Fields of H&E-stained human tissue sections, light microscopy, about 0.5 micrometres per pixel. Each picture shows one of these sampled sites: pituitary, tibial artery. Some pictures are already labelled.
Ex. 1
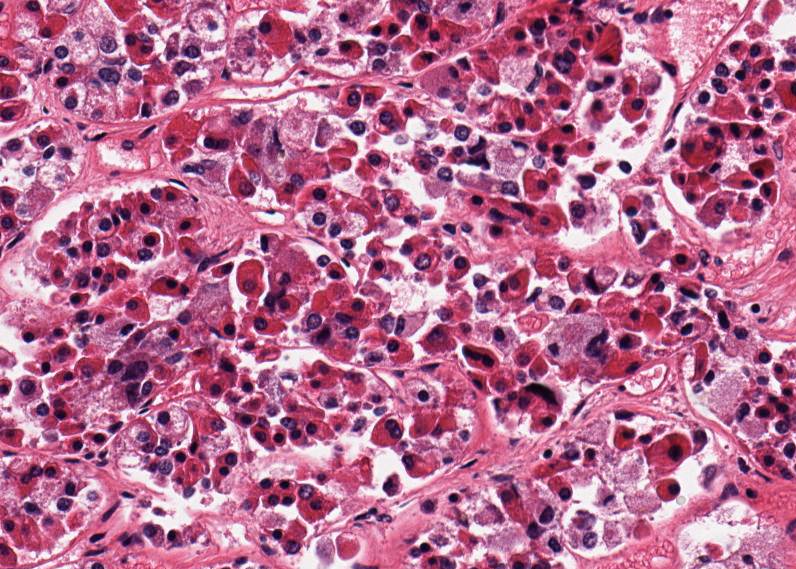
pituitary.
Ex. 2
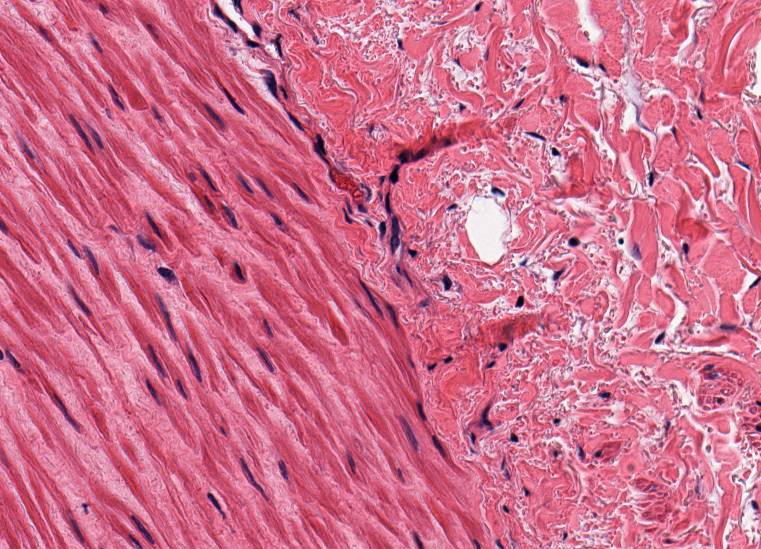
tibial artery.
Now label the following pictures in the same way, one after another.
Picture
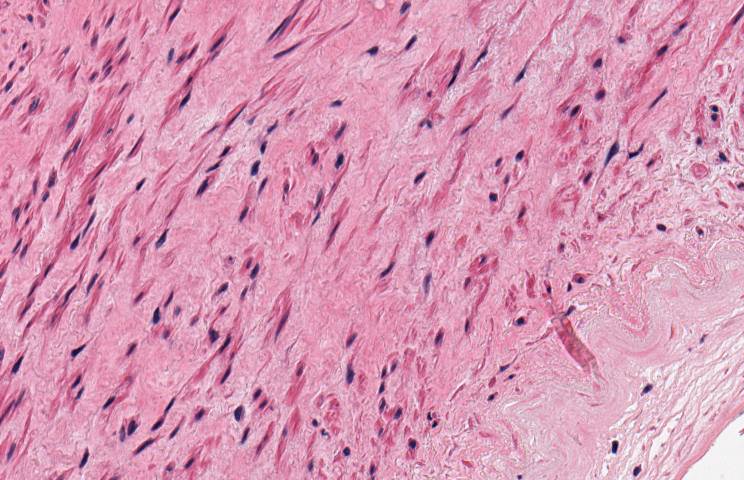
tibial artery.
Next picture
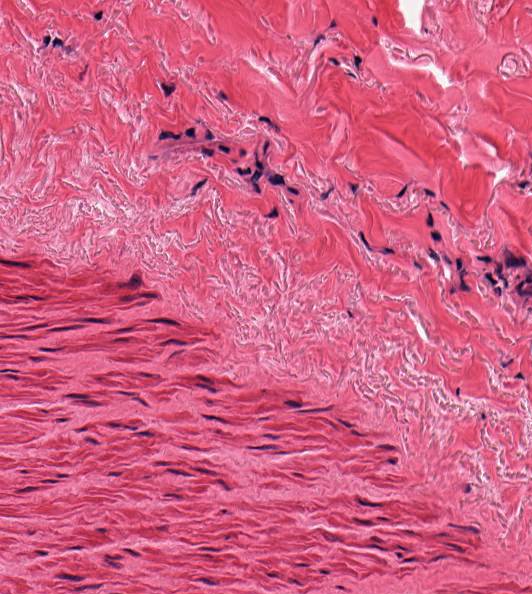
tibial artery.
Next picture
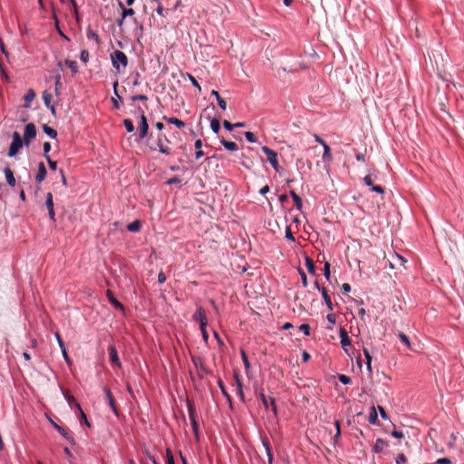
tibial artery.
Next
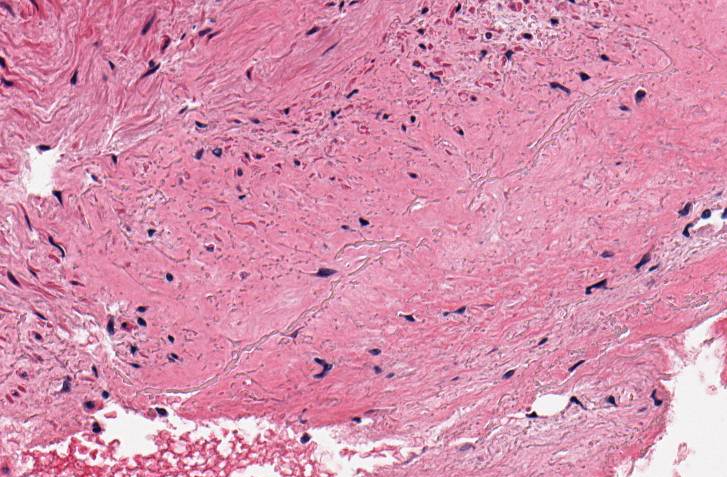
tibial artery.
